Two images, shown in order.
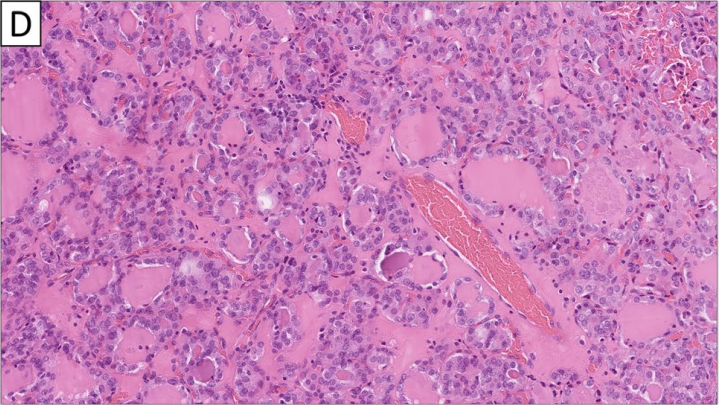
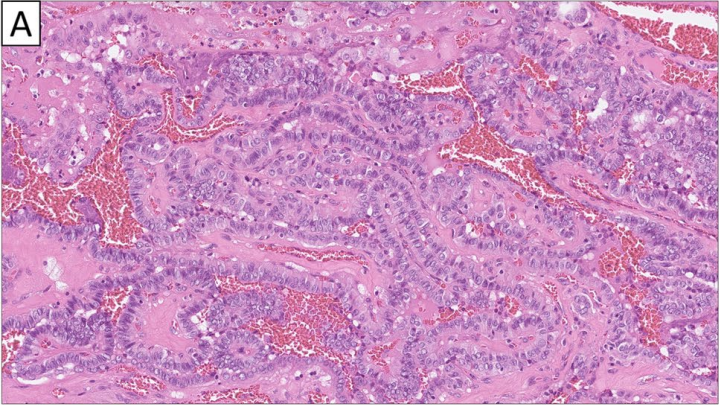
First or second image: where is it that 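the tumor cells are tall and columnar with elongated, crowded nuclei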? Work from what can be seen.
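The second image. First image: small cuboidal cells with round, uniform, dark nuclei around colloid-filled follicles. Second image: columnar cells taller than wide with elongated nuclei lining papillary structures.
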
